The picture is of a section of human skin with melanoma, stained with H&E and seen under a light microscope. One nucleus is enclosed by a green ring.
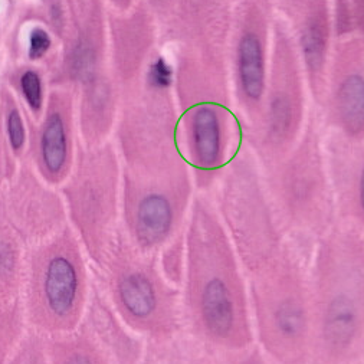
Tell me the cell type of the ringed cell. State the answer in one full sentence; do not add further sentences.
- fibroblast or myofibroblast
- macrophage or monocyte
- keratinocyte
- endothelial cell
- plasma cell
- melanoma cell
In the stained section, the ringed cell is a keratinocyte.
